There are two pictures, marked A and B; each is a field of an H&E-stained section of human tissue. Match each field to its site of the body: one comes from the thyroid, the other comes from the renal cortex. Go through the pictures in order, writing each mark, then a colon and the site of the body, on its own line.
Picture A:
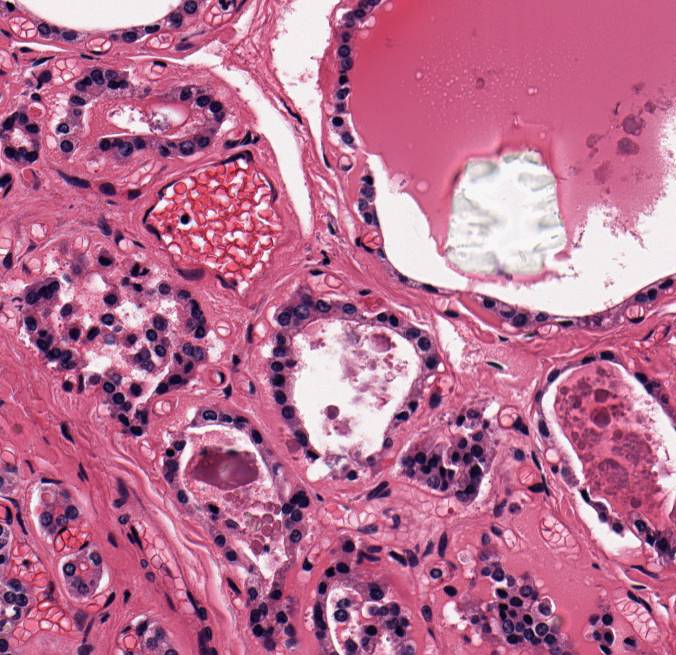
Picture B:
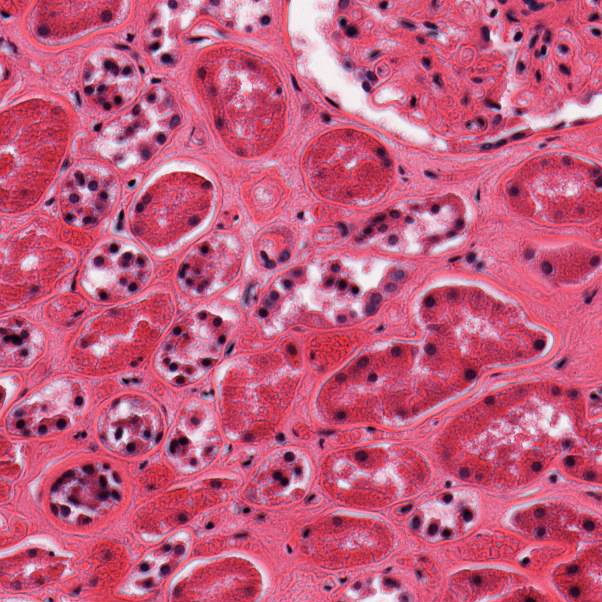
A: thyroid
B: renal cortex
